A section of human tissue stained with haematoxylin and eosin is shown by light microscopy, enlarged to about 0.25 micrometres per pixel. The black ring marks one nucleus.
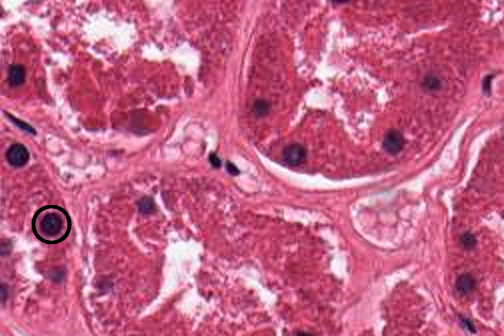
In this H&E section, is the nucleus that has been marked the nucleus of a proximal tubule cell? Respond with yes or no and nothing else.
yes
